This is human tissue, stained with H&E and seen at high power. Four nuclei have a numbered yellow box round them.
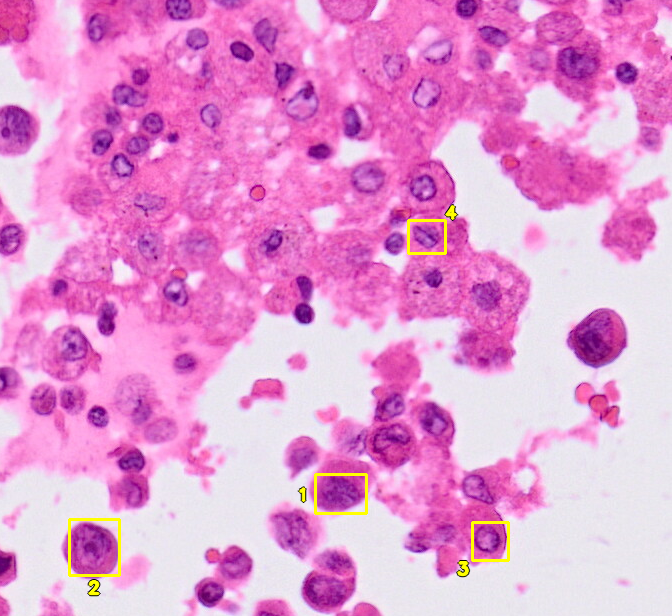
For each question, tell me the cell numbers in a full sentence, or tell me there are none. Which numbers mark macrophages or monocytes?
The cells numbered 3 and 4 are identified as macrophages or monocytes.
